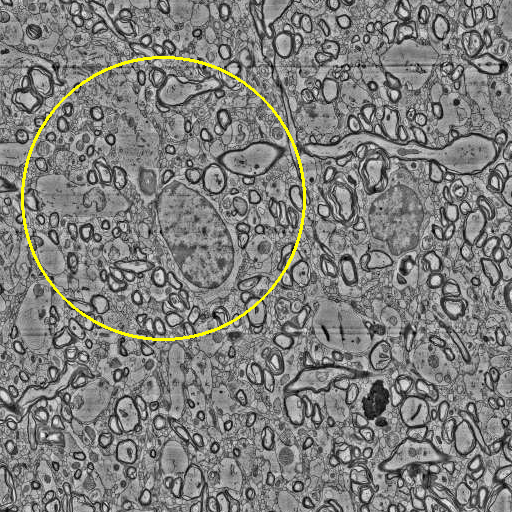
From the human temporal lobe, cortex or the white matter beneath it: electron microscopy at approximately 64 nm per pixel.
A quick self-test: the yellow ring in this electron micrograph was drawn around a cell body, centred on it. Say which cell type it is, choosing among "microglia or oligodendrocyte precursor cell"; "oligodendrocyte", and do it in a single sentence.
The yellow-ringed cell is a microglial cell or oligodendrocyte precursor cell.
